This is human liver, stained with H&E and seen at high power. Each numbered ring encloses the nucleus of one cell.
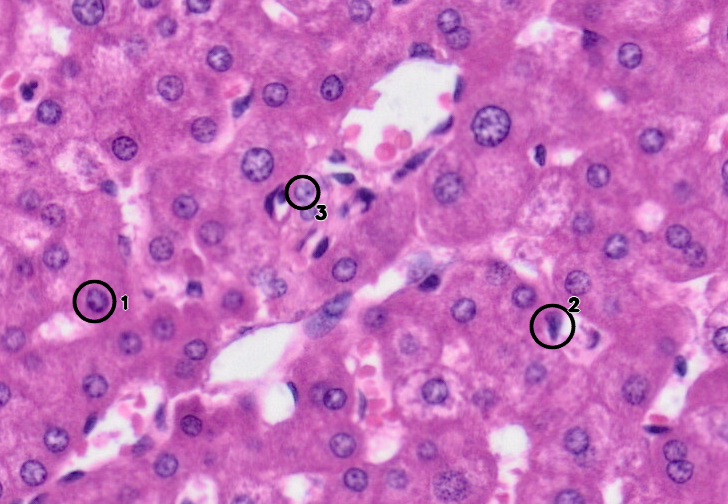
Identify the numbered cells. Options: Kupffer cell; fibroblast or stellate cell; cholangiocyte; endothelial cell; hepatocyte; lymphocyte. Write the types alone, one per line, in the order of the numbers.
hepatocyte
endothelial cell
cholangiocyte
